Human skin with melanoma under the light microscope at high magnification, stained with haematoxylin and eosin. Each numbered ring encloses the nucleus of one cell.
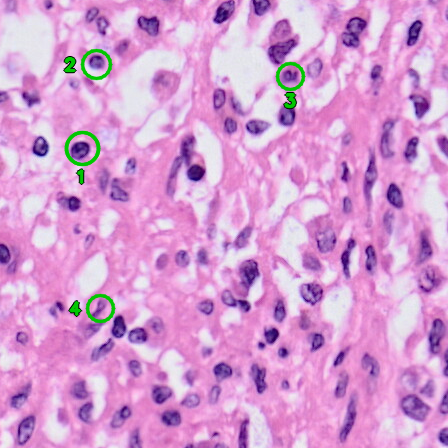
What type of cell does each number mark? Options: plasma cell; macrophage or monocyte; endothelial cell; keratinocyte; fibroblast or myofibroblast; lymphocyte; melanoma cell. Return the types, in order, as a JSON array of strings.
["lymphocyte", "lymphocyte", "macrophage or monocyte", "fibroblast or myofibroblast"]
